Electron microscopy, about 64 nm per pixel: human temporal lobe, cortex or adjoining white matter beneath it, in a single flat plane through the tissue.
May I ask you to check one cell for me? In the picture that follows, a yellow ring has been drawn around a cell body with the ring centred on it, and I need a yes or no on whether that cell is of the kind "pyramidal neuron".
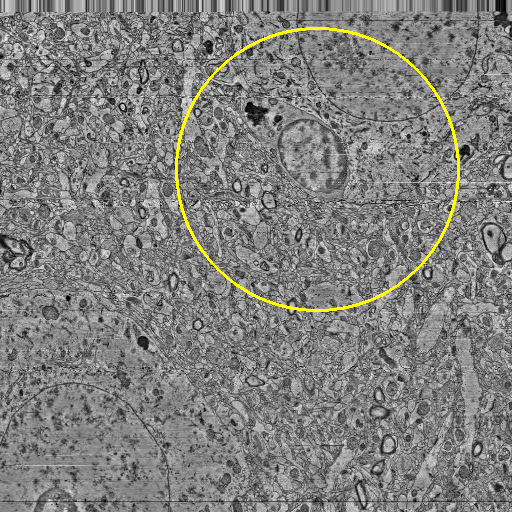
No, it is some other kind of cell.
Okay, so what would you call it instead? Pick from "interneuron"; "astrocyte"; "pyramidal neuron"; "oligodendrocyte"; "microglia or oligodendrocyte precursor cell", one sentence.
The cell in the ring is an oligodendrocyte instead.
